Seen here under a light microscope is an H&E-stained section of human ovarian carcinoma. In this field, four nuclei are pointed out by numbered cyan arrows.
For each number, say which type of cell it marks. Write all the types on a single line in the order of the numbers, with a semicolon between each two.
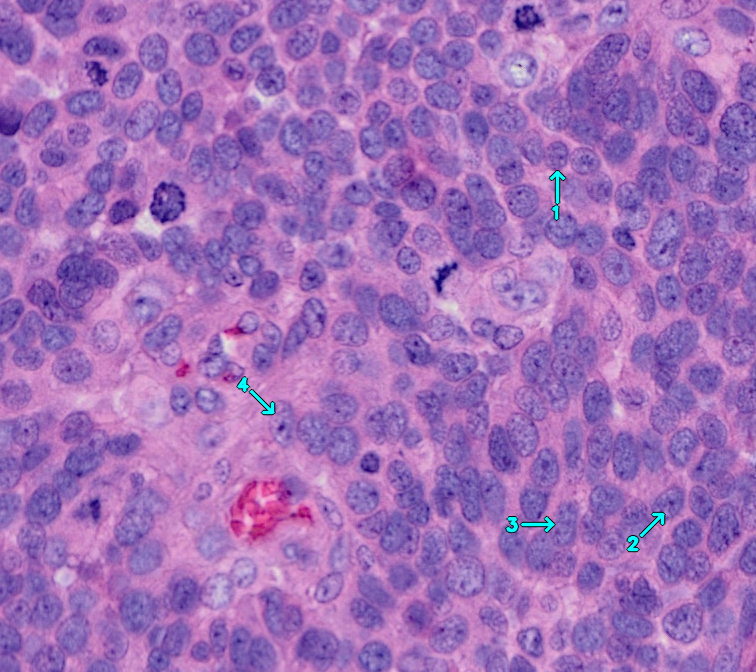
carcinoma cell; carcinoma cell; carcinoma cell; fibroblast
